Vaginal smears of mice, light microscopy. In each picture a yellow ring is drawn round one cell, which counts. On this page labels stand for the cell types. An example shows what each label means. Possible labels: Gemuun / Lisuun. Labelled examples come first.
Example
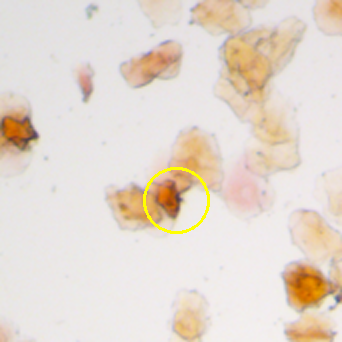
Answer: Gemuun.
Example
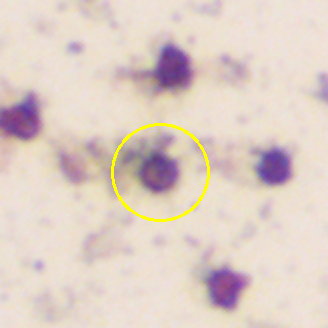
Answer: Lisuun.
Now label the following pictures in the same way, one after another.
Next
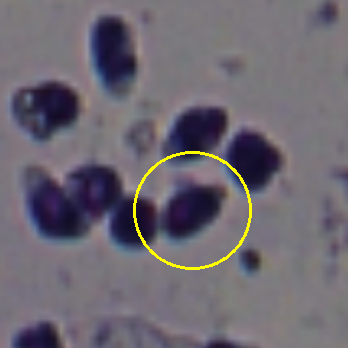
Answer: Lisuun.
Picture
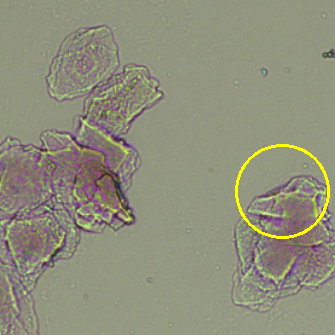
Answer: Gemuun.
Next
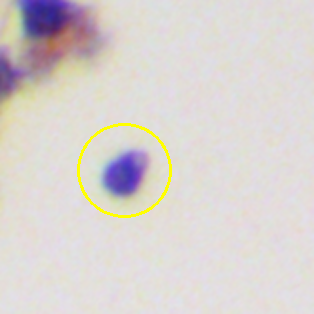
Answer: Lisuun.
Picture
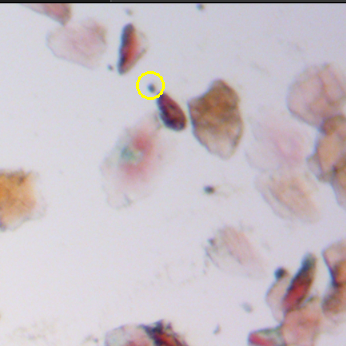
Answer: Lisuun.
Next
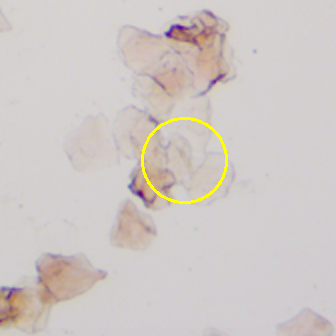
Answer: Gemuun.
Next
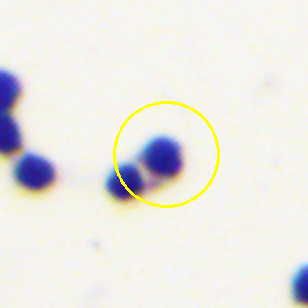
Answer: Lisuun.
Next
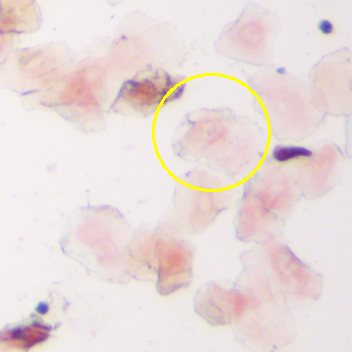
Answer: Gemuun.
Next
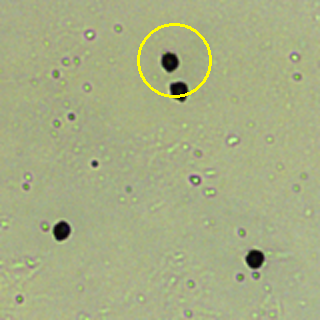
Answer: Lisuun.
